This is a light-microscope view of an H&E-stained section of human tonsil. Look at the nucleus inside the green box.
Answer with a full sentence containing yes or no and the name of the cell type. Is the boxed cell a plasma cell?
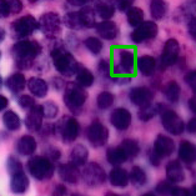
No, mark the boxed cell as a small lymphocyte, not as a plasma cell.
